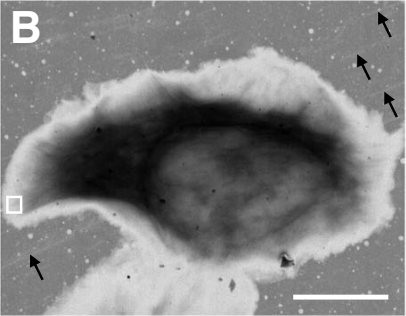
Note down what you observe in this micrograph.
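A single flattened cell lies on the support, its thick central part appearing dark while the thin spreading margin is bright and ruffled at its edge. A rounded, slightly paler area sits within the dark centre, and a few faint bright lines cross the surrounding background.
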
